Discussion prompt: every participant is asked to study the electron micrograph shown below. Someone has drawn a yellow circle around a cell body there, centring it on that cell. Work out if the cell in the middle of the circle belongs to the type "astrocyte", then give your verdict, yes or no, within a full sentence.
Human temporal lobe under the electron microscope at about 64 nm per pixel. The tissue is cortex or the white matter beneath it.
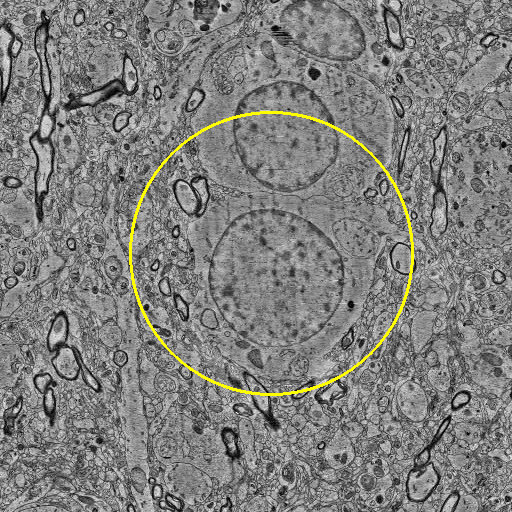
Yes, my verdict is that the cell in the circle's centre is of that type.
